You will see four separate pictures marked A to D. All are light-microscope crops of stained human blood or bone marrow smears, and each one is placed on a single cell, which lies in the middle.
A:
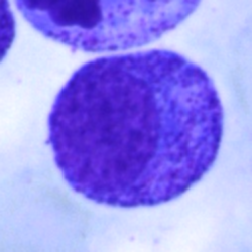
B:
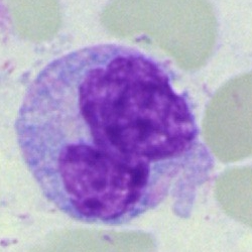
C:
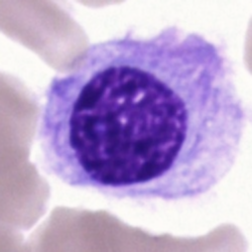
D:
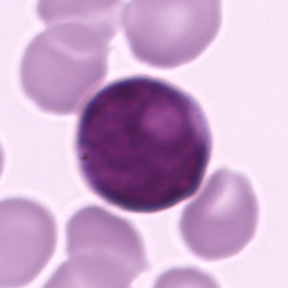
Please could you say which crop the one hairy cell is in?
C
